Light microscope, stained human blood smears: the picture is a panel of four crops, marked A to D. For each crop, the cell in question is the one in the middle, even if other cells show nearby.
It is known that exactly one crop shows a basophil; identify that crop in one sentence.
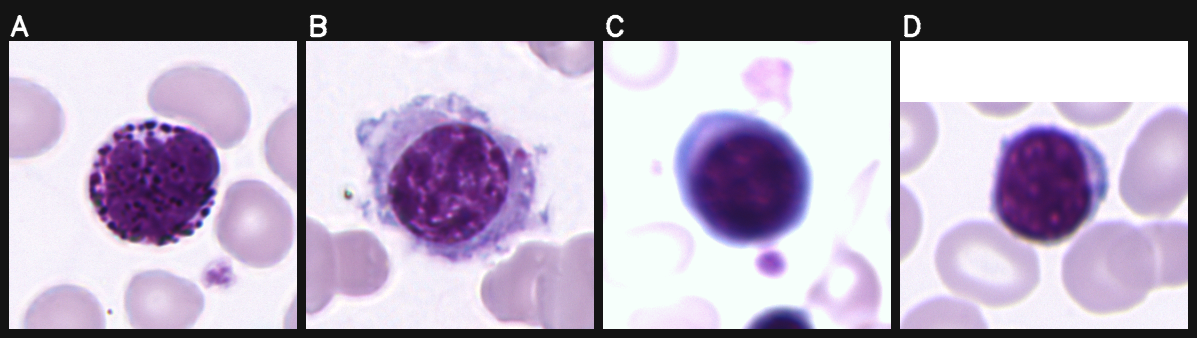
Of the cells presented, the one in crop A is a basophil.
